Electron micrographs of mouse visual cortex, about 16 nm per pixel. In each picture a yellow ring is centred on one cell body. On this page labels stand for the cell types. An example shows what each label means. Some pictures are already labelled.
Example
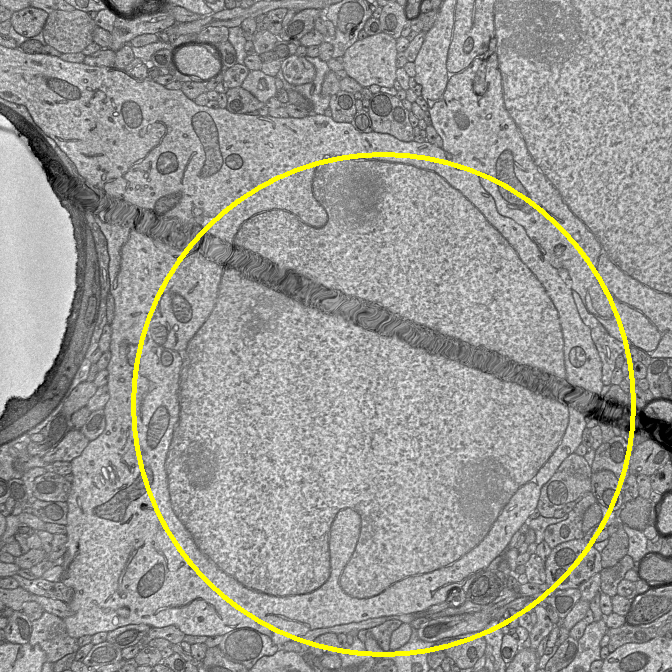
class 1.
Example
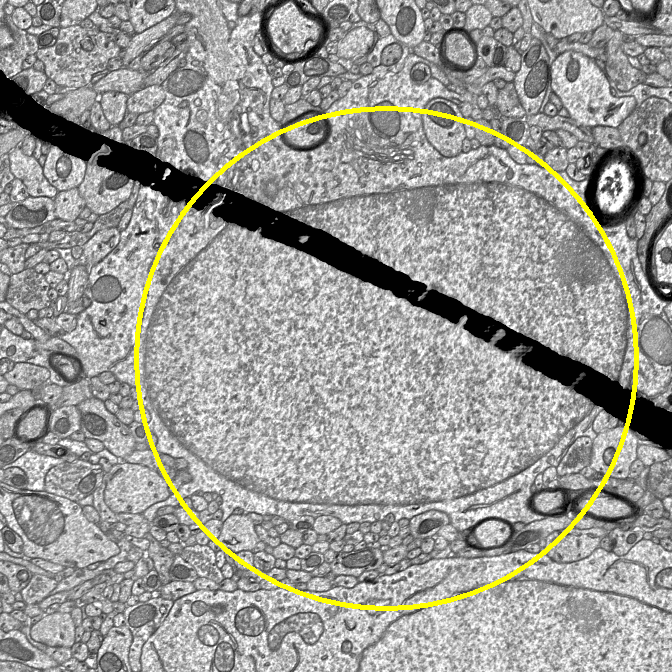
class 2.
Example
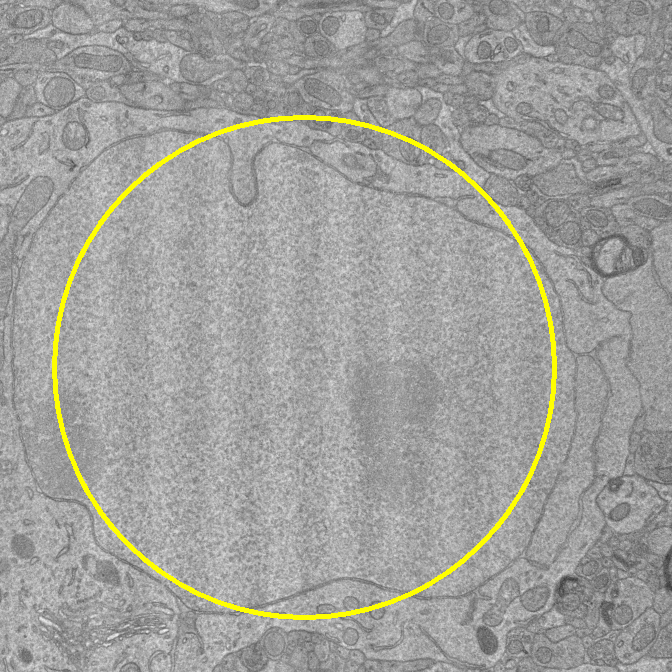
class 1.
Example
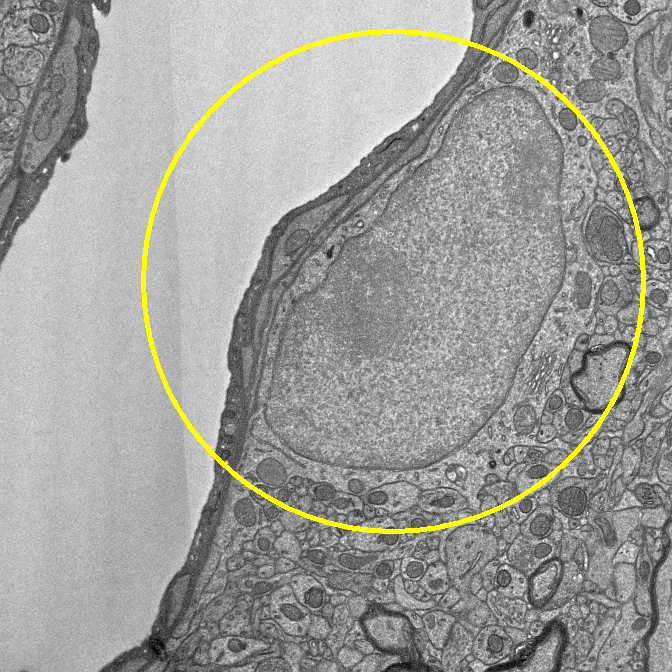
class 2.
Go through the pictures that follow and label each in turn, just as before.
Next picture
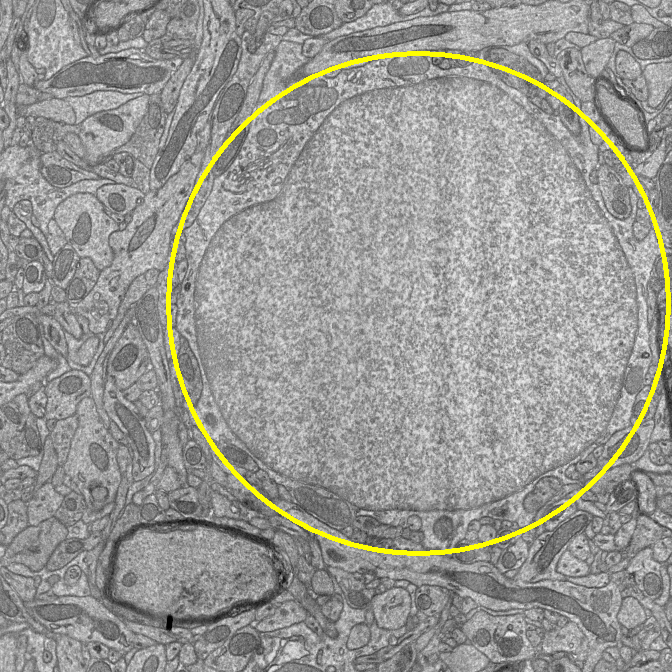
class 2.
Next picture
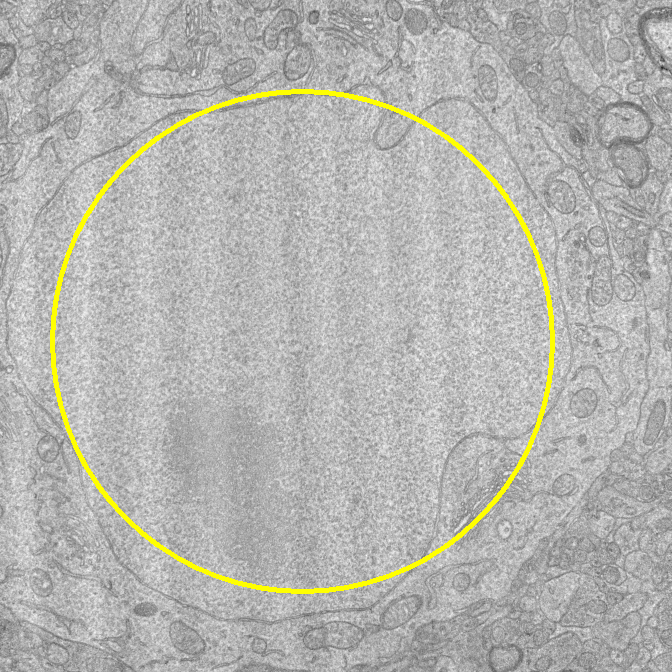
class 1.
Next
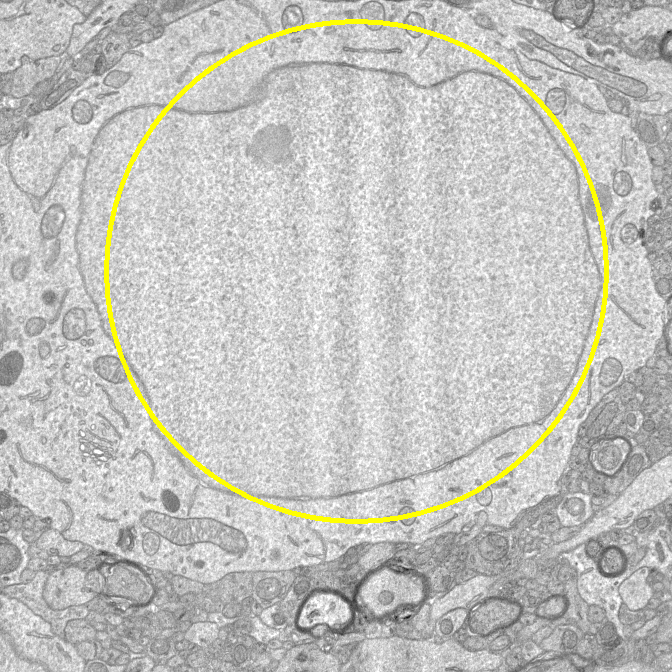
class 1.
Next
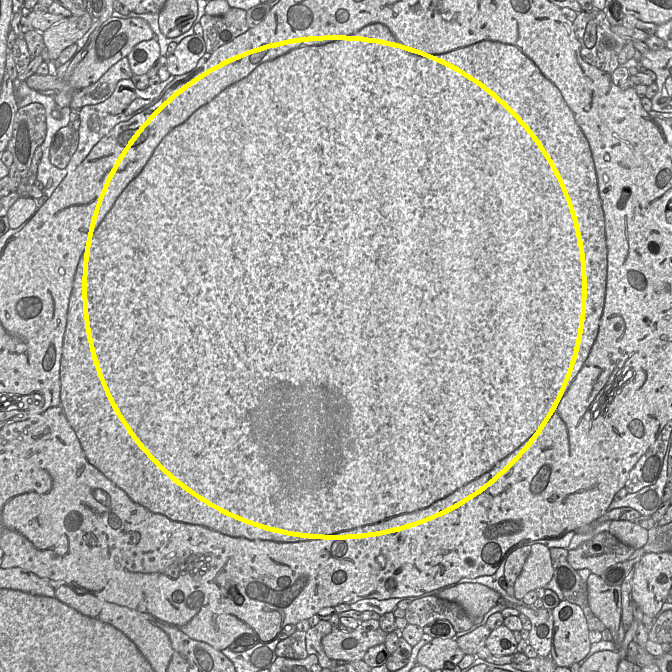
class 1.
